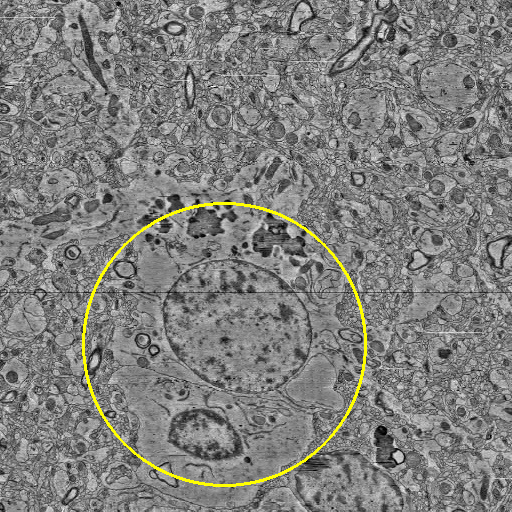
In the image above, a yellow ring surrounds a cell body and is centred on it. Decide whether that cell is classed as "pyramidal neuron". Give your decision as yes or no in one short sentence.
No, it belongs to another kind of cell.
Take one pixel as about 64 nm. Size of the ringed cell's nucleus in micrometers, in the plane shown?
Approximately 9 micrometres across in this plane.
